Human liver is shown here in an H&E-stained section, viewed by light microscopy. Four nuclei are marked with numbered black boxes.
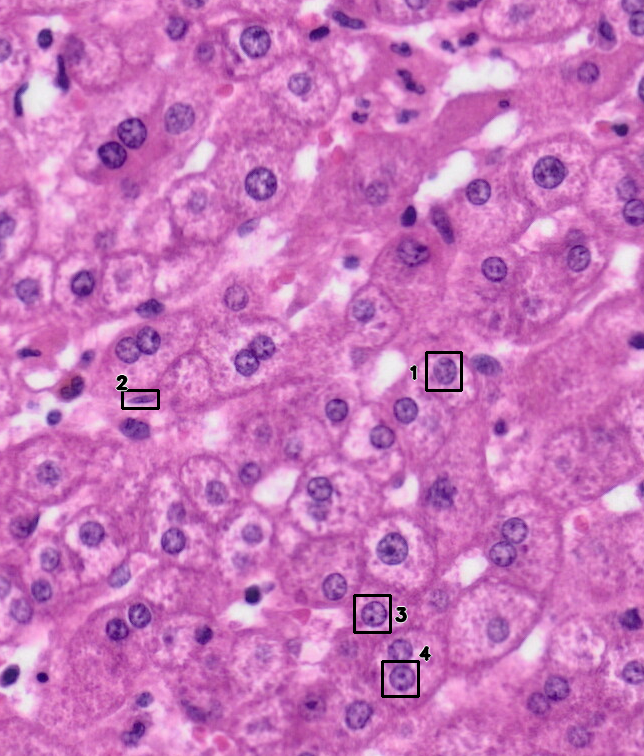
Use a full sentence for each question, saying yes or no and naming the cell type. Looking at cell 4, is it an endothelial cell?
No, that is wrong: cell 4 is a hepatocyte, and not an endothelial cell.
